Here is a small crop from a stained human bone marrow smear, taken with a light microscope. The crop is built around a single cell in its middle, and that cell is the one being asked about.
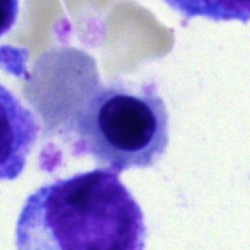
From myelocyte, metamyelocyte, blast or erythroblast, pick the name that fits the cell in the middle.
erythroblast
